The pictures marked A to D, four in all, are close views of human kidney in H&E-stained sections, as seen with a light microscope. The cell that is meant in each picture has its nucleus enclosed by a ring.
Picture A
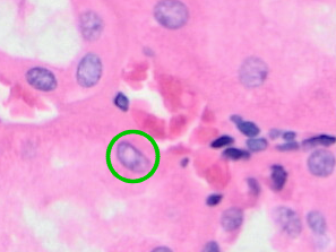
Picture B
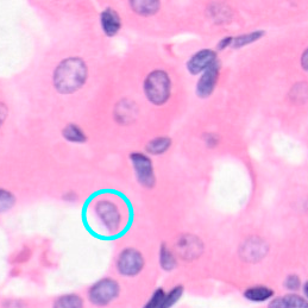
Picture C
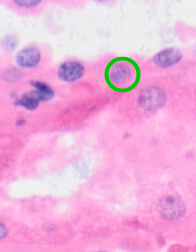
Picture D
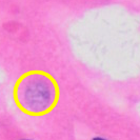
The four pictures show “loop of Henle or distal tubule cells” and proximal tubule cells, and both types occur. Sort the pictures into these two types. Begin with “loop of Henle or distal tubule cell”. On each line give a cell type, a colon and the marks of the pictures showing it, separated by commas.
loop of Henle or distal tubule cell: B, C
proximal tubule cell: A, D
